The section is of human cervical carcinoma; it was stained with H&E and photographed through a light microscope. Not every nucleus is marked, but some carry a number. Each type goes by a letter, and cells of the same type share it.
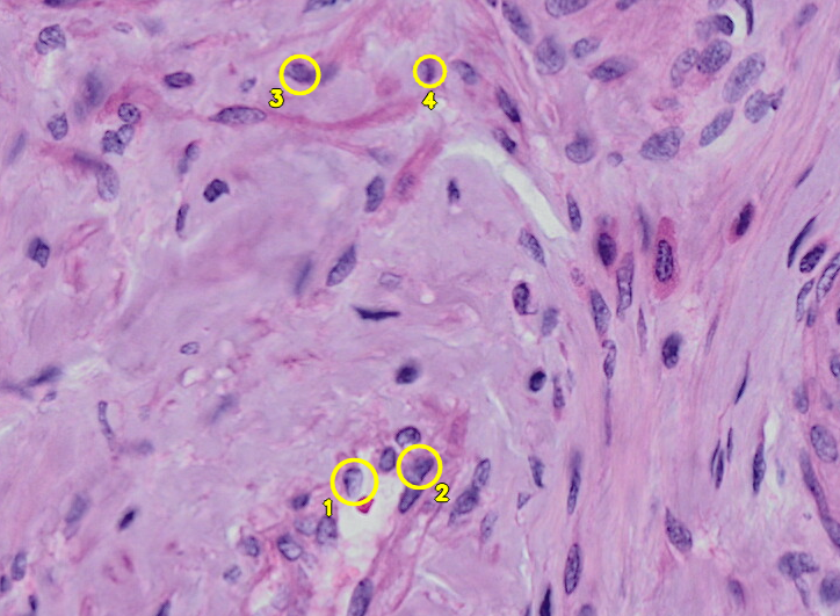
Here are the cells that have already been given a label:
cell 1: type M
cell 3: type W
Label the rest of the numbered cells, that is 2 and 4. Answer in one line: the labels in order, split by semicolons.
type M; type W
